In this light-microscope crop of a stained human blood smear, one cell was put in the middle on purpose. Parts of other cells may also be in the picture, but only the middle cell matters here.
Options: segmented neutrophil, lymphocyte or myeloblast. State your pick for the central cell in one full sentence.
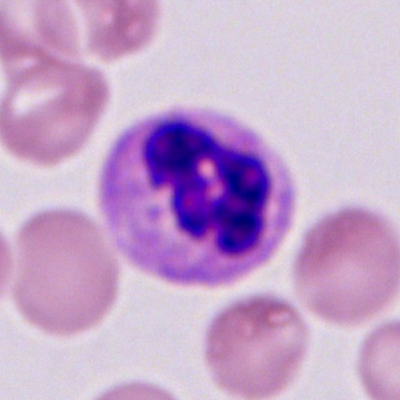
At the crop's centre, the cell is a segmented neutrophil.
